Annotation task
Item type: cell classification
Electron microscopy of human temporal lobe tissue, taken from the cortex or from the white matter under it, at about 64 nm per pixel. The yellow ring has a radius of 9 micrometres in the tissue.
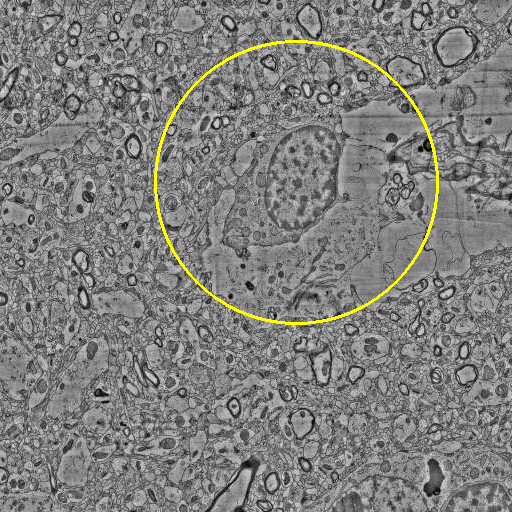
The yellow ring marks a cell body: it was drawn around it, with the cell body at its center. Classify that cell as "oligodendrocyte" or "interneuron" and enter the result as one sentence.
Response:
The ring's center falls on an oligodendrocyte.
